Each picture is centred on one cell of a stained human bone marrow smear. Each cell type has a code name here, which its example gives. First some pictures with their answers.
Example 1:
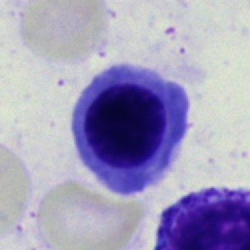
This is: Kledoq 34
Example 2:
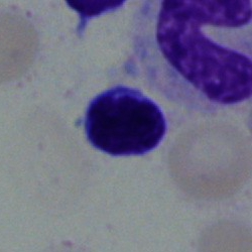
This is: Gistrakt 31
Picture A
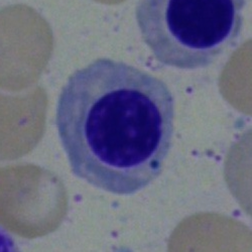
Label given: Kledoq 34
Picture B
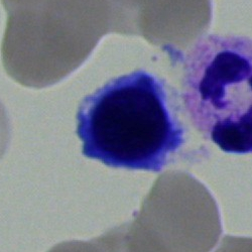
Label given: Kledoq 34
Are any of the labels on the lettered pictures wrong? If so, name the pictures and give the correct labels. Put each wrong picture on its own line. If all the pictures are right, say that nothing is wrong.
All labels are correct.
